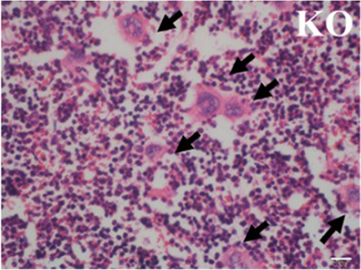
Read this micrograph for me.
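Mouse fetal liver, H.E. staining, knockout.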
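A dense field of small round cells with dark purple nuclei and scant cytoplasm fills the section, crowded in sheets and interrupted by small pale spaces. Scattered through them lie several giant cells, many times the size of their neighbours, with ample pink cytoplasm and large, lobed, purple nuclei. A few pink-staining cells with less distinct nuclei lie between the small cells.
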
